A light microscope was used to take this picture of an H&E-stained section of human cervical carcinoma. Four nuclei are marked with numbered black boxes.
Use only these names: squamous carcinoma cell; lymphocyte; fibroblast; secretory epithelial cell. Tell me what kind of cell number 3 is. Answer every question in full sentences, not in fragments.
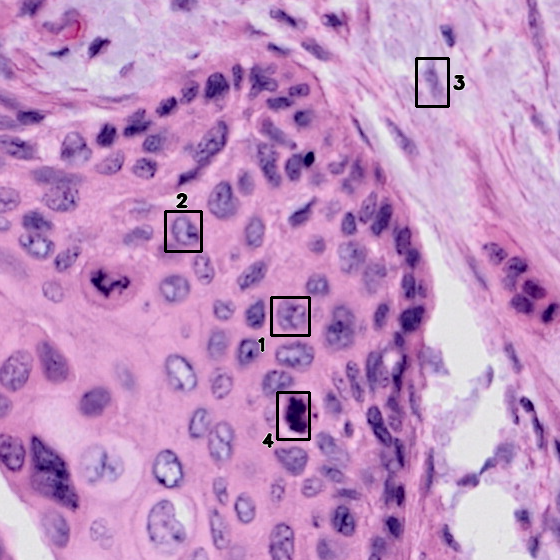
Heads up, the cell numbered 3 is a fibroblast.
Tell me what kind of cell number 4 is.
The cell assigned the number 4 is a squamous carcinoma cell.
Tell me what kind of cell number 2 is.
Cell 2 should be recorded as a squamous carcinoma cell.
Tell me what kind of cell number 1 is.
Among the marked cells, number 1 is a squamous carcinoma cell.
